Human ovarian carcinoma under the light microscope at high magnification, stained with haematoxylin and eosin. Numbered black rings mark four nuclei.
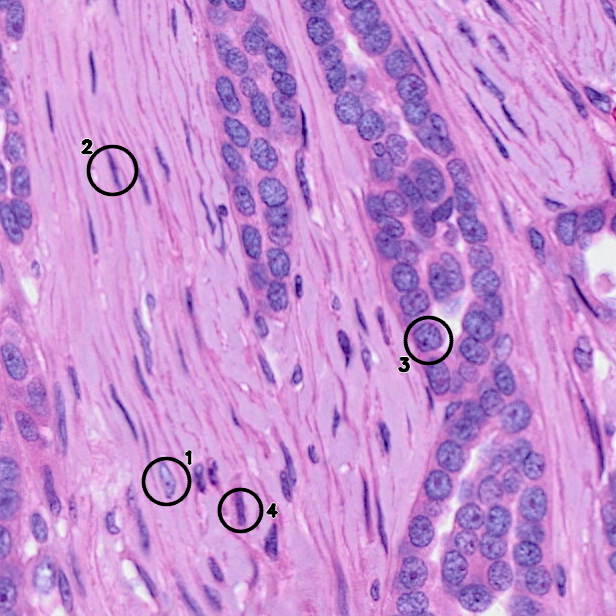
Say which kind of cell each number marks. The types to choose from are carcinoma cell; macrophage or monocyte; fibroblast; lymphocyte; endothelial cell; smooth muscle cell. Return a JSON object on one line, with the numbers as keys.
{"1": "fibroblast", "2": "fibroblast", "3": "carcinoma cell", "4": "fibroblast"}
